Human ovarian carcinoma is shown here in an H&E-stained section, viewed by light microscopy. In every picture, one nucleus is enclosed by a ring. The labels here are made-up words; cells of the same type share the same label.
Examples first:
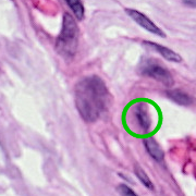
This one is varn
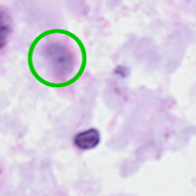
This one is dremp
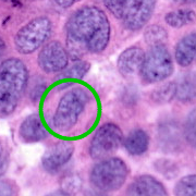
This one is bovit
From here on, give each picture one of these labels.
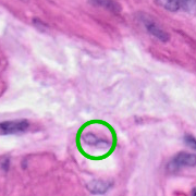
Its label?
varn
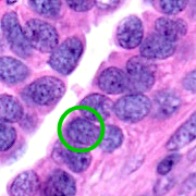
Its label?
bovit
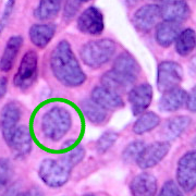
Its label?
bovit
